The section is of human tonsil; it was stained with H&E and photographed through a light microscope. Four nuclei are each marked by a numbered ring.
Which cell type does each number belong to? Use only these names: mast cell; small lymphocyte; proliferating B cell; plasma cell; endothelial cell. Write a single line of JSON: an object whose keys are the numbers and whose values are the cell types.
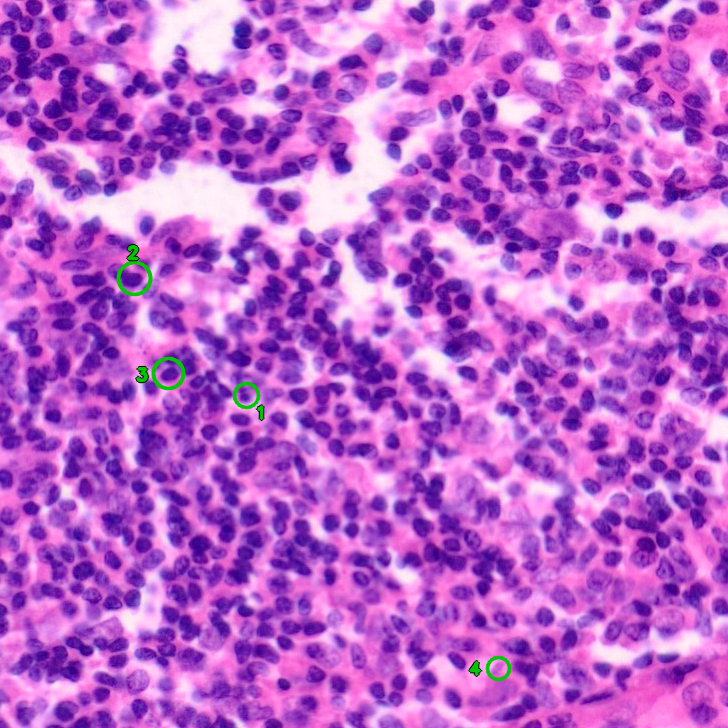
{"1": "small lymphocyte", "2": "small lymphocyte", "3": "small lymphocyte", "4": "endothelial cell"}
